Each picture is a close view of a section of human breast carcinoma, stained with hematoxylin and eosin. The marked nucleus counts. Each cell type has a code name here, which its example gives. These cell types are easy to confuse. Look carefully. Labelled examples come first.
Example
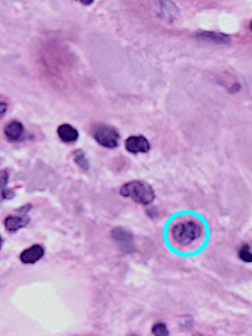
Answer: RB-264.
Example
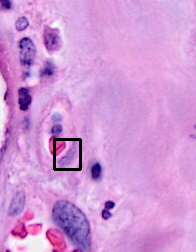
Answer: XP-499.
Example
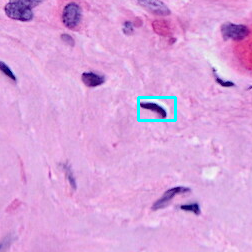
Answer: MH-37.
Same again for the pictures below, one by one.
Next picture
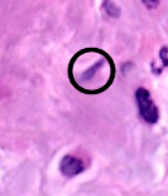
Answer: MH-37.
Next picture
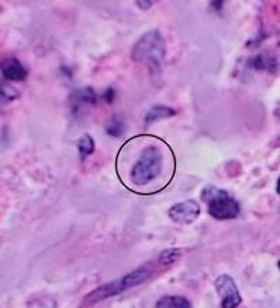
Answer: RB-264.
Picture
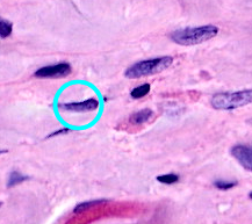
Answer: MH-37.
